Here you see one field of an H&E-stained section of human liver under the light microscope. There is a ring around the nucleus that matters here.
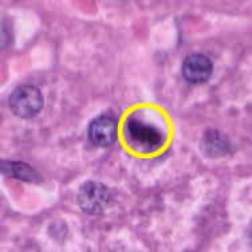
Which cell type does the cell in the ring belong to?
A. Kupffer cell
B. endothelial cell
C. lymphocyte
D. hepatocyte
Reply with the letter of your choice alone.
A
